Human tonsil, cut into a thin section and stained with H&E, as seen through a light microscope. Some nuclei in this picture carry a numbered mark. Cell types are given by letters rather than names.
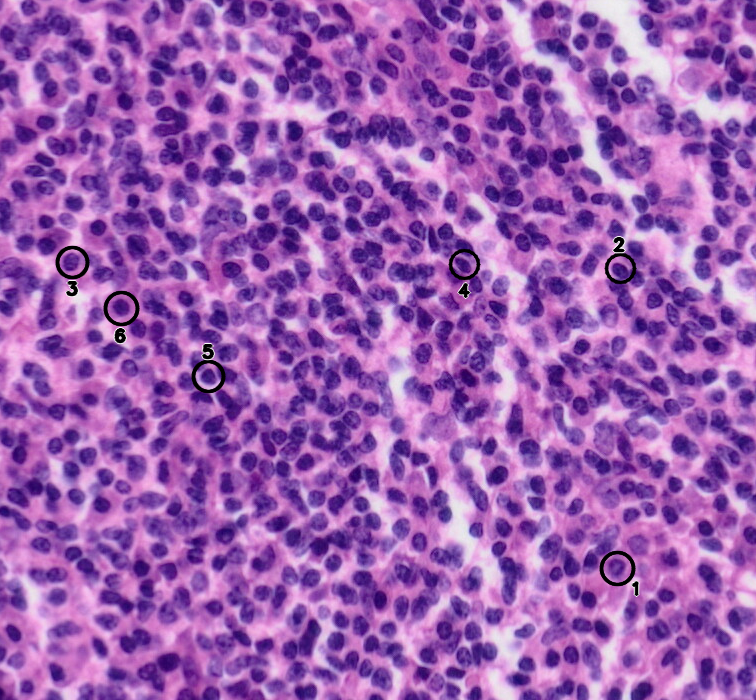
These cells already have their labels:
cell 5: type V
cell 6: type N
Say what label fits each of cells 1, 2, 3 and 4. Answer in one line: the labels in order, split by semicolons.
type N; type V; type N; type V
